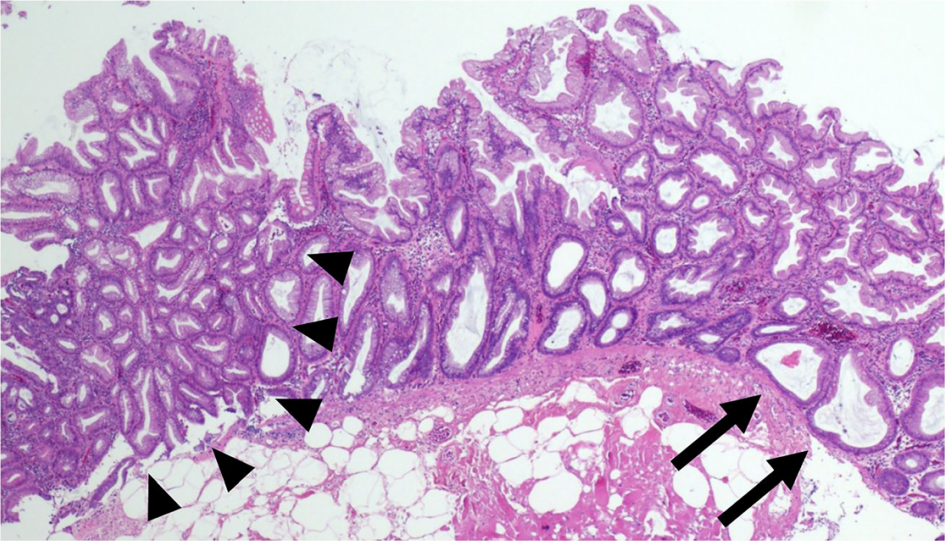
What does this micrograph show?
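This is colonic mucosa forming a polyp, made of crowded, branching and serrated crypts lined by columnar epithelium with purple nuclei, set in pink stroma above the fat of the submucosa. On the right, some crypts at the base are widened and filled with pale mucus. On the left, the glands are more crowded and complex, and their epithelium stains darker.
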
